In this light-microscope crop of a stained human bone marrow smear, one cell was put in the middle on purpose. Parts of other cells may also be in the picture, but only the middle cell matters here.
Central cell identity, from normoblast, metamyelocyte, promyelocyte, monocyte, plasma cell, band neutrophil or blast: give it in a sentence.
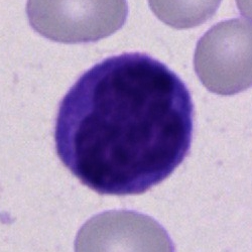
In the middle of this smear crop is a monocyte.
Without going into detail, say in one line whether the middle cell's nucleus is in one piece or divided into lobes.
Just one compact nuclear mass here, round, oval or kidney-shaped.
